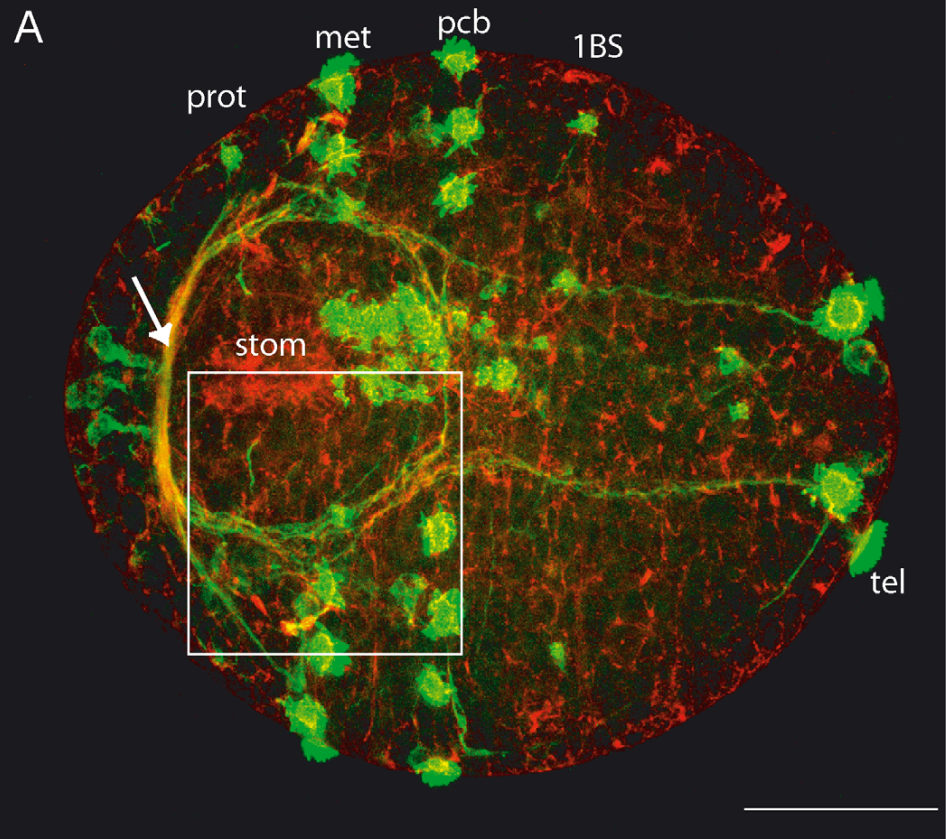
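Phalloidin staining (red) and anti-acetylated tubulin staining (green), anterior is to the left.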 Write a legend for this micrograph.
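A rounded larva seen from below, with clusters of green ciliated cells lined up in transverse rows across the body and a large green cell mass near the middle, while thin red outlines mark the margins of the many small cells. A bright yellow-green arch of fibre bundles runs along the front edge and sends two long tracts backwards around the mouth region toward the rear. These are the ciliary bands, the anlage of the brain and the nerve connectives around the mouth.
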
